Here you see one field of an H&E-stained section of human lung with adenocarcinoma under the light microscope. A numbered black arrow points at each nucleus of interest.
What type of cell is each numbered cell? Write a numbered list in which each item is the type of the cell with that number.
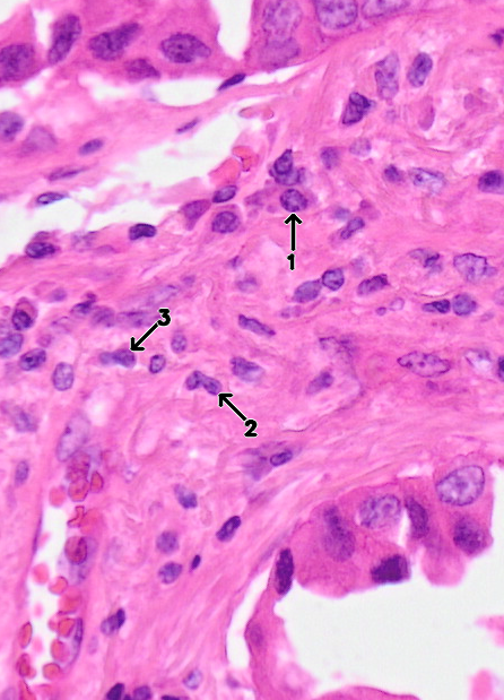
1. plasma cell
2. lymphocyte
3. lymphocyte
